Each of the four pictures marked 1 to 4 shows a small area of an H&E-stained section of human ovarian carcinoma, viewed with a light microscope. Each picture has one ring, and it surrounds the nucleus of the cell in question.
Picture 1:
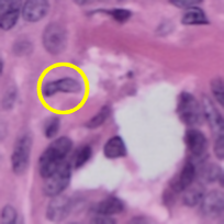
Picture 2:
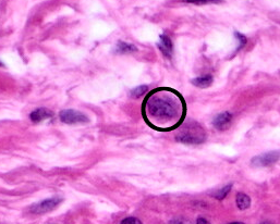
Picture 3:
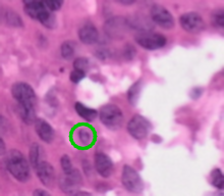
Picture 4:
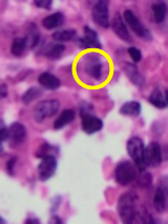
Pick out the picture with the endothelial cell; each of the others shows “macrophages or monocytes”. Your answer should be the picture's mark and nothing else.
2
